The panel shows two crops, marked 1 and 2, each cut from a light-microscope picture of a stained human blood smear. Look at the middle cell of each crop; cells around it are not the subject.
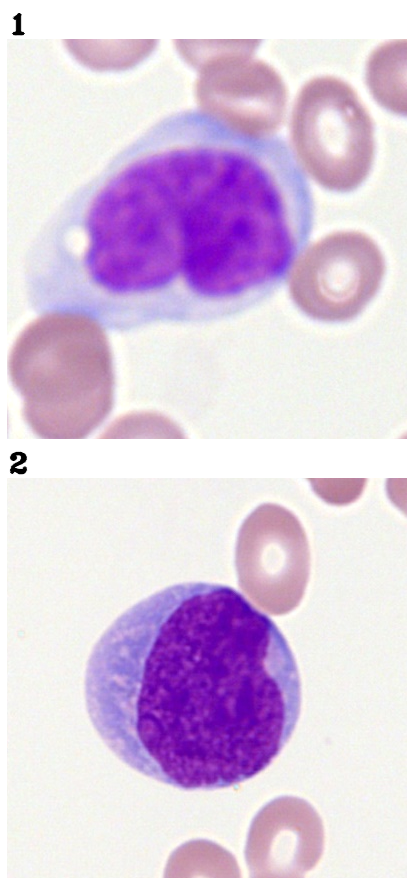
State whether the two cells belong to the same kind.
no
